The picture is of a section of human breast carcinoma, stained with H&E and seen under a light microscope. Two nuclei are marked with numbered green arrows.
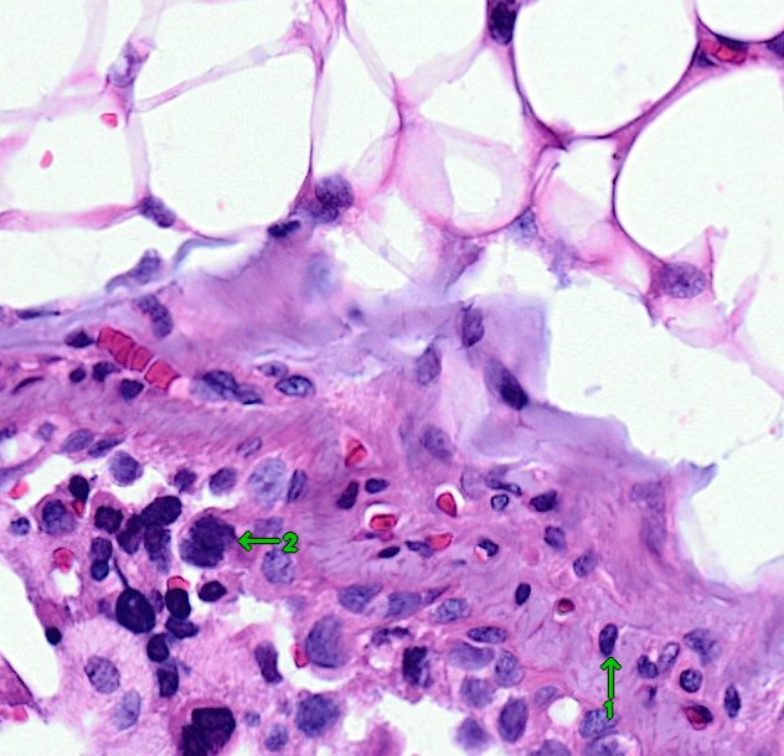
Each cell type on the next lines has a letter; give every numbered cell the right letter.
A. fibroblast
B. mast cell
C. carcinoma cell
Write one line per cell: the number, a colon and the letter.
1: B
2: C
